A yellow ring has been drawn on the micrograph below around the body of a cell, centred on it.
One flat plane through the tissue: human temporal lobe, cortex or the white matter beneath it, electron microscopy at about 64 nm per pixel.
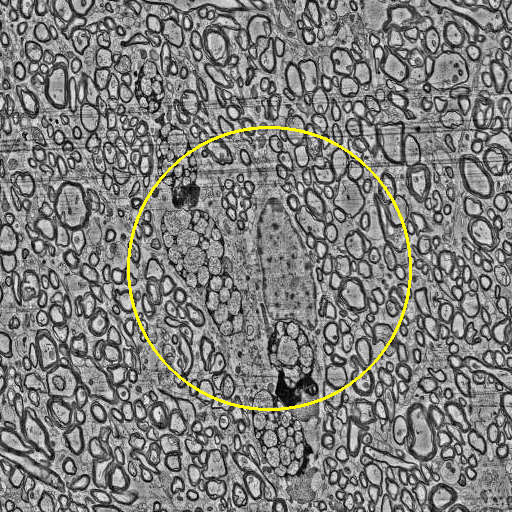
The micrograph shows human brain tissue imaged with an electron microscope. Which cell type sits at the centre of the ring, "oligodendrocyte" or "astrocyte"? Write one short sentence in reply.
The cell sitting at the centre of the ring is an astrocyte.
